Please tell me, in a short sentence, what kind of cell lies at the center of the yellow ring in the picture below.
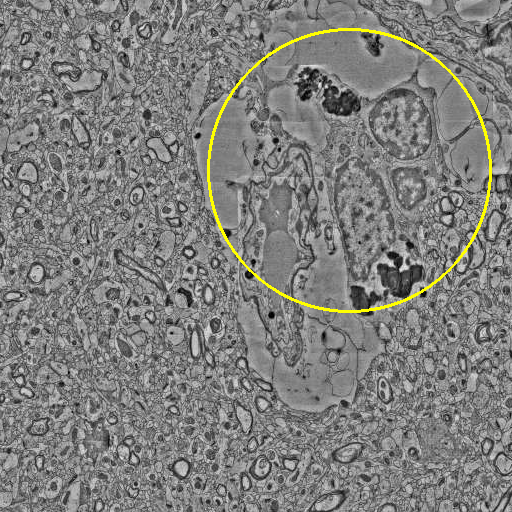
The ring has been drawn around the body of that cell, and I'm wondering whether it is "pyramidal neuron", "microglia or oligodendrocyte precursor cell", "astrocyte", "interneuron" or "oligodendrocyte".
The cell at the center of the ring is an oligodendrocyte.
